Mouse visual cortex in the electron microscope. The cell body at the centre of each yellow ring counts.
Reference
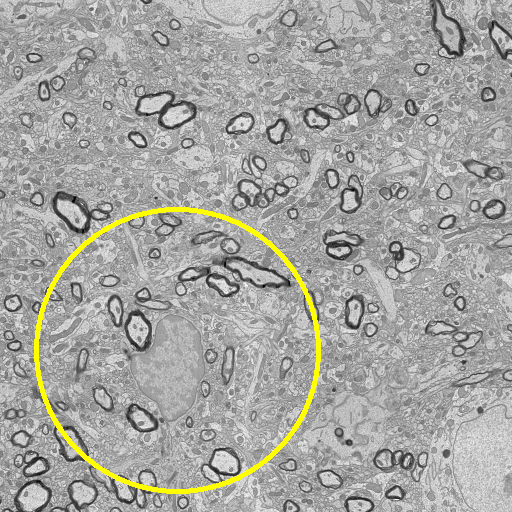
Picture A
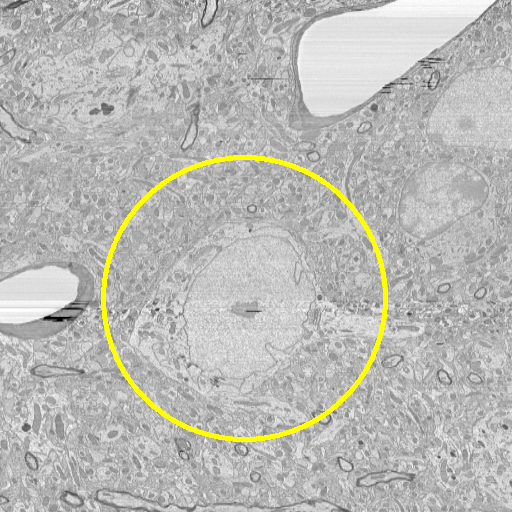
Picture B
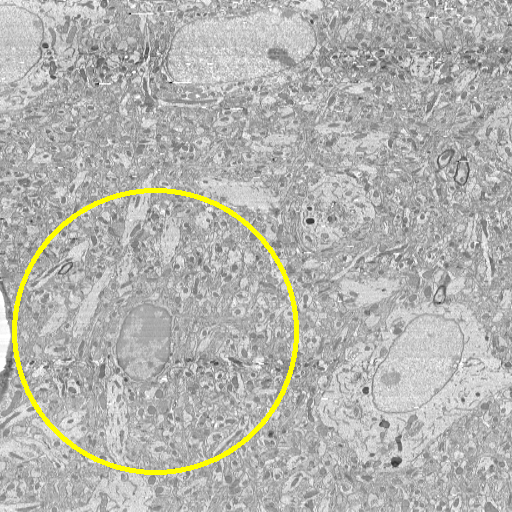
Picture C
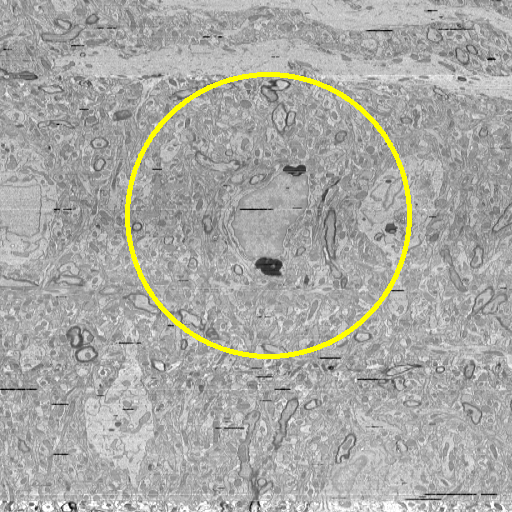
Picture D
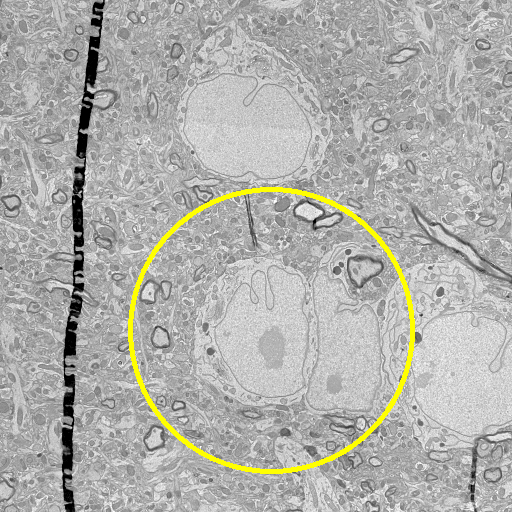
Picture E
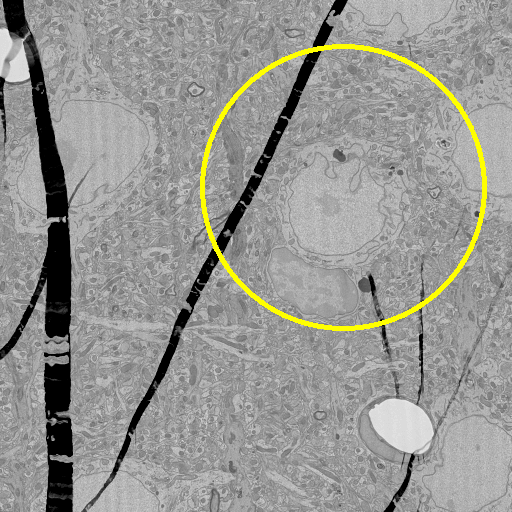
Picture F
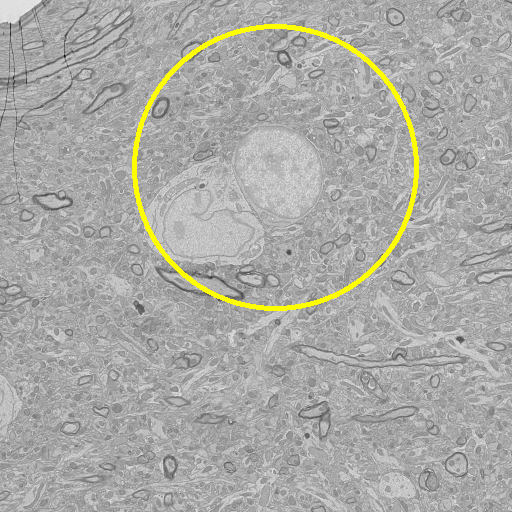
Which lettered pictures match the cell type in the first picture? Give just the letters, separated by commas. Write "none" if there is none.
B, C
